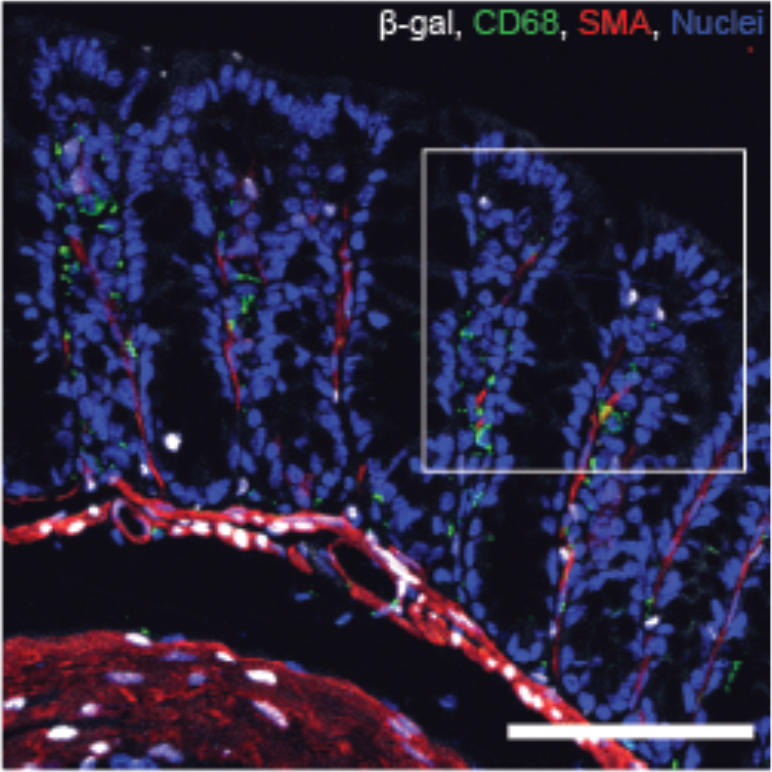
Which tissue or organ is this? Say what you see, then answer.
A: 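Colon crypts. Parallel straight tubular glands lined by densely packed blue nuclei. Glands rest on a red muscle band at the bottom of the image.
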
